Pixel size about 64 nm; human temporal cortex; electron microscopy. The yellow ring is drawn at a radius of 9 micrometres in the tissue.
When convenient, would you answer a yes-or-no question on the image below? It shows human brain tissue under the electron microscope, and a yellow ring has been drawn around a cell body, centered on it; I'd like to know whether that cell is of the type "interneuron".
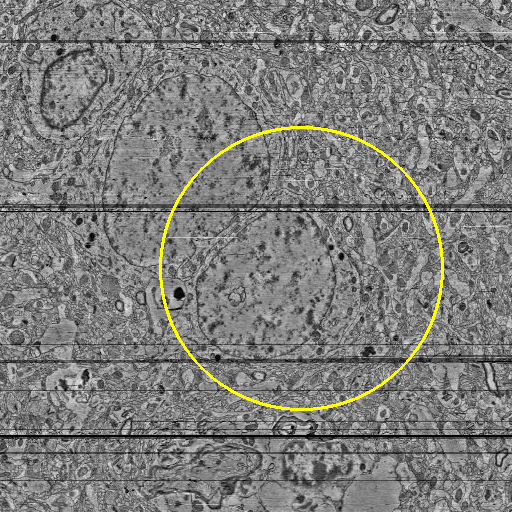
no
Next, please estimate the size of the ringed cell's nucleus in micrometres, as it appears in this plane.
Approximately 11 x 9 micrometres in this plane.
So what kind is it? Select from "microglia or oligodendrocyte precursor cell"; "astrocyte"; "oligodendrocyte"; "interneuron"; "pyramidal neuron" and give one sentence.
The ringed cell in this picture is, instead, a pyramidal neuron.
